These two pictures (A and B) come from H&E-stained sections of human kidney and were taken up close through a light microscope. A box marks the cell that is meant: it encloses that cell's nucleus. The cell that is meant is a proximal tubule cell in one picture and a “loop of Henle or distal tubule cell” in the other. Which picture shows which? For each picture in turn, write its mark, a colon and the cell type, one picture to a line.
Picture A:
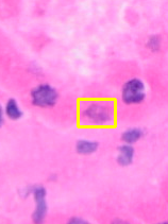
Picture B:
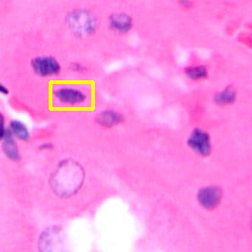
A: proximal tubule cell
B: loop of Henle or distal tubule cell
